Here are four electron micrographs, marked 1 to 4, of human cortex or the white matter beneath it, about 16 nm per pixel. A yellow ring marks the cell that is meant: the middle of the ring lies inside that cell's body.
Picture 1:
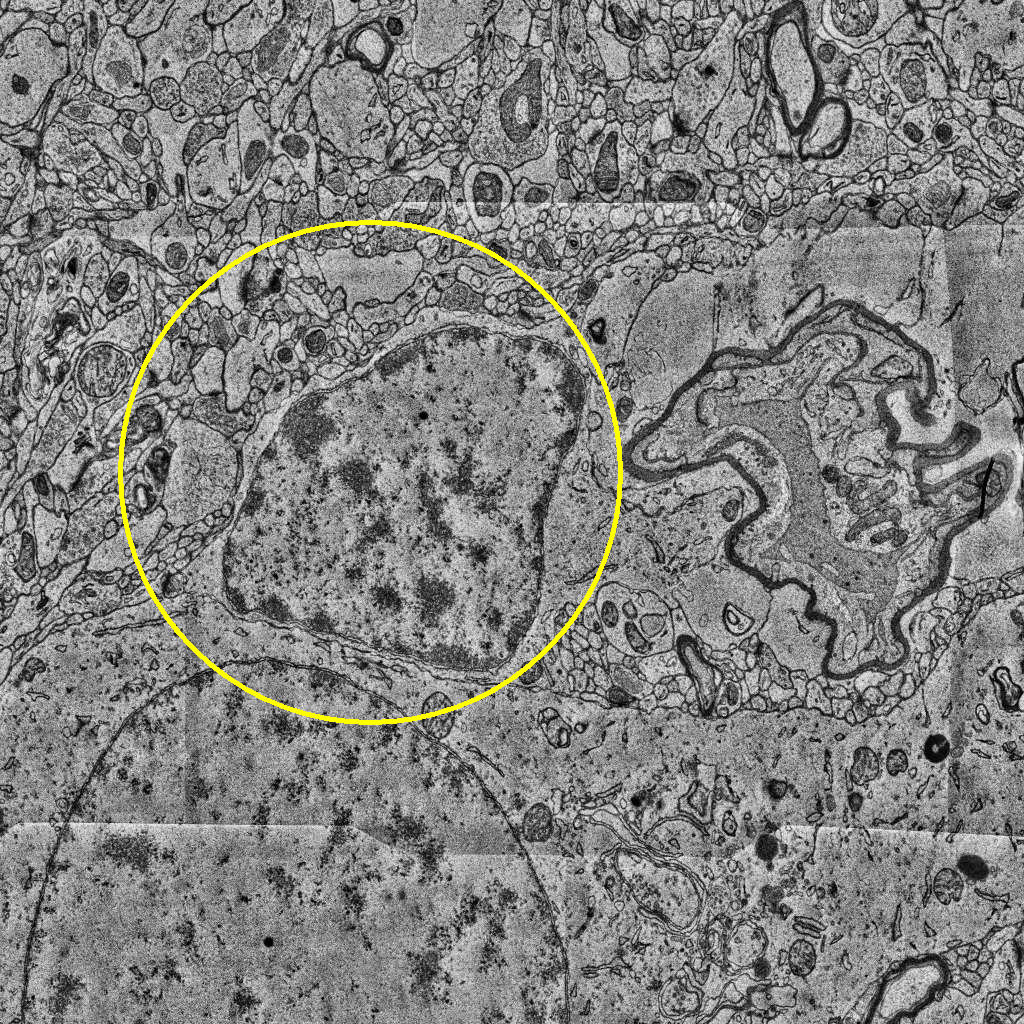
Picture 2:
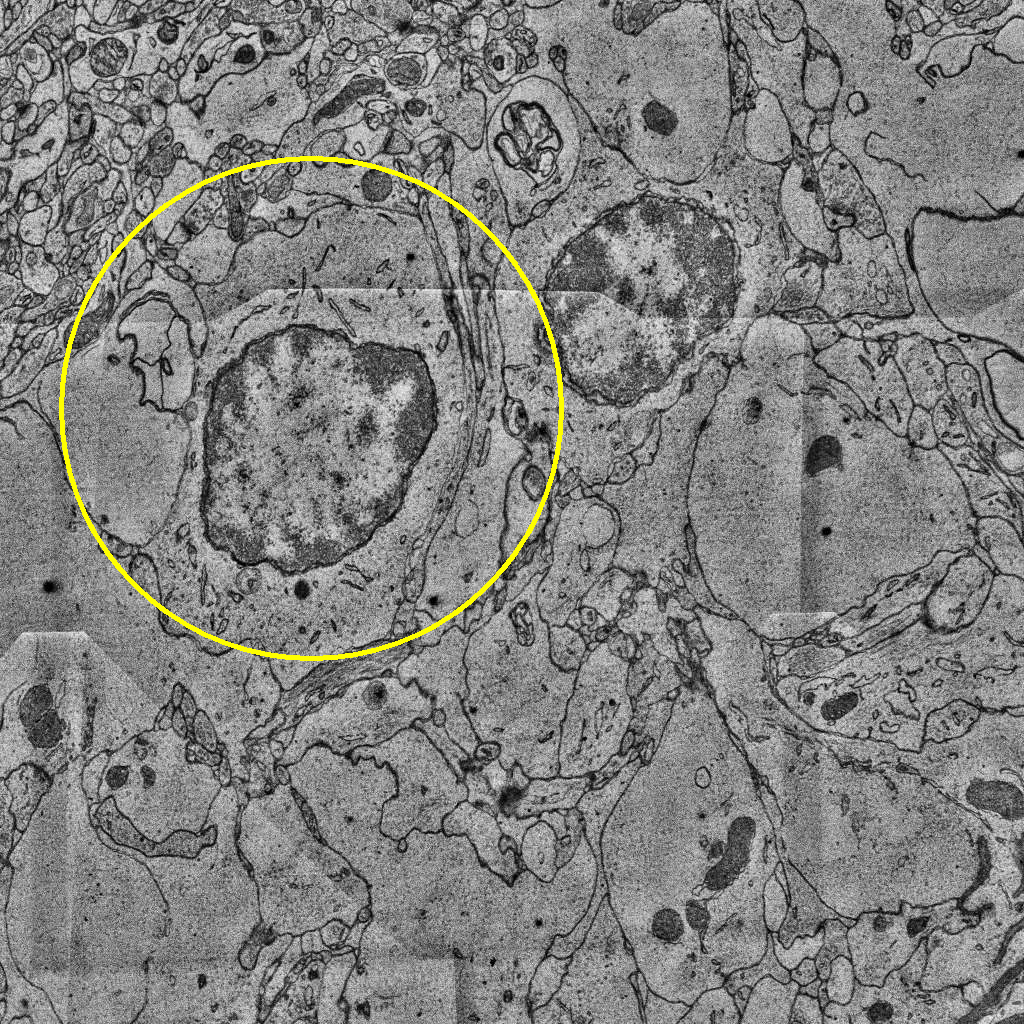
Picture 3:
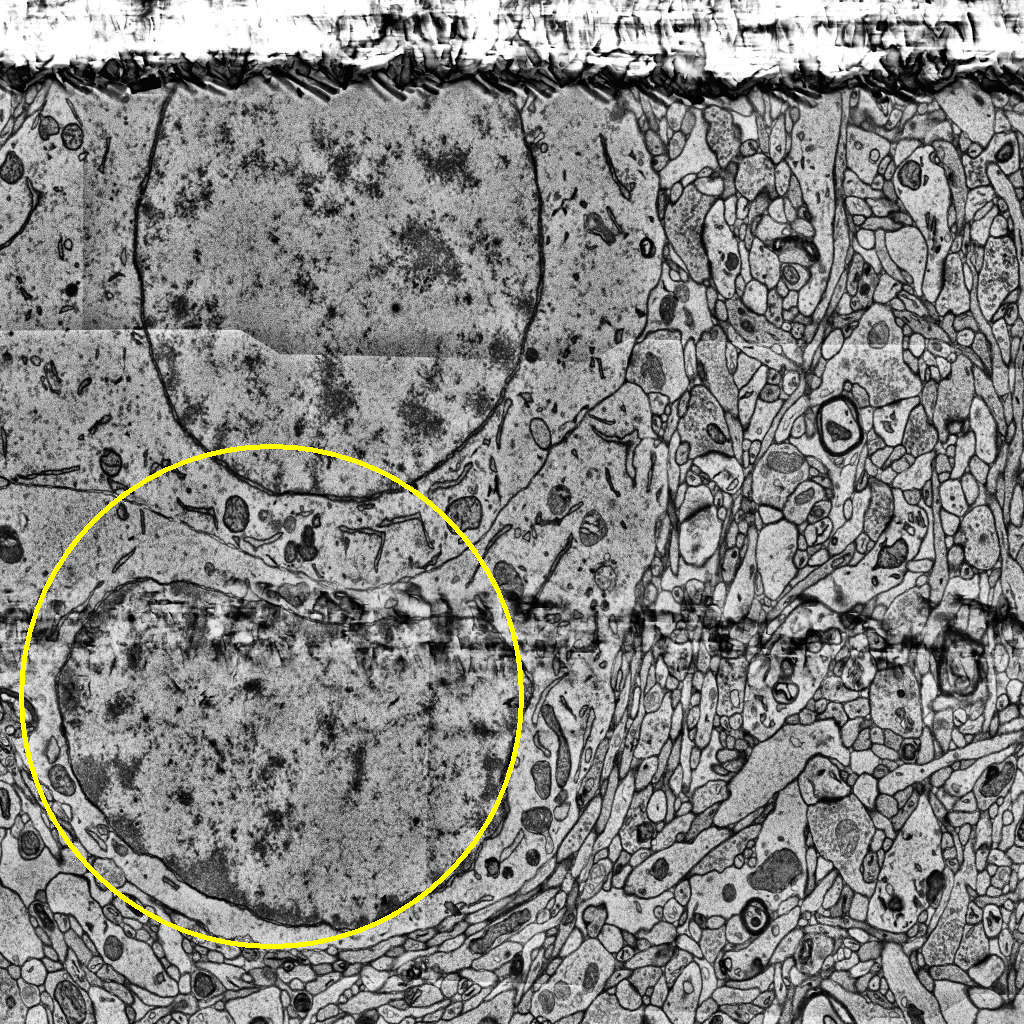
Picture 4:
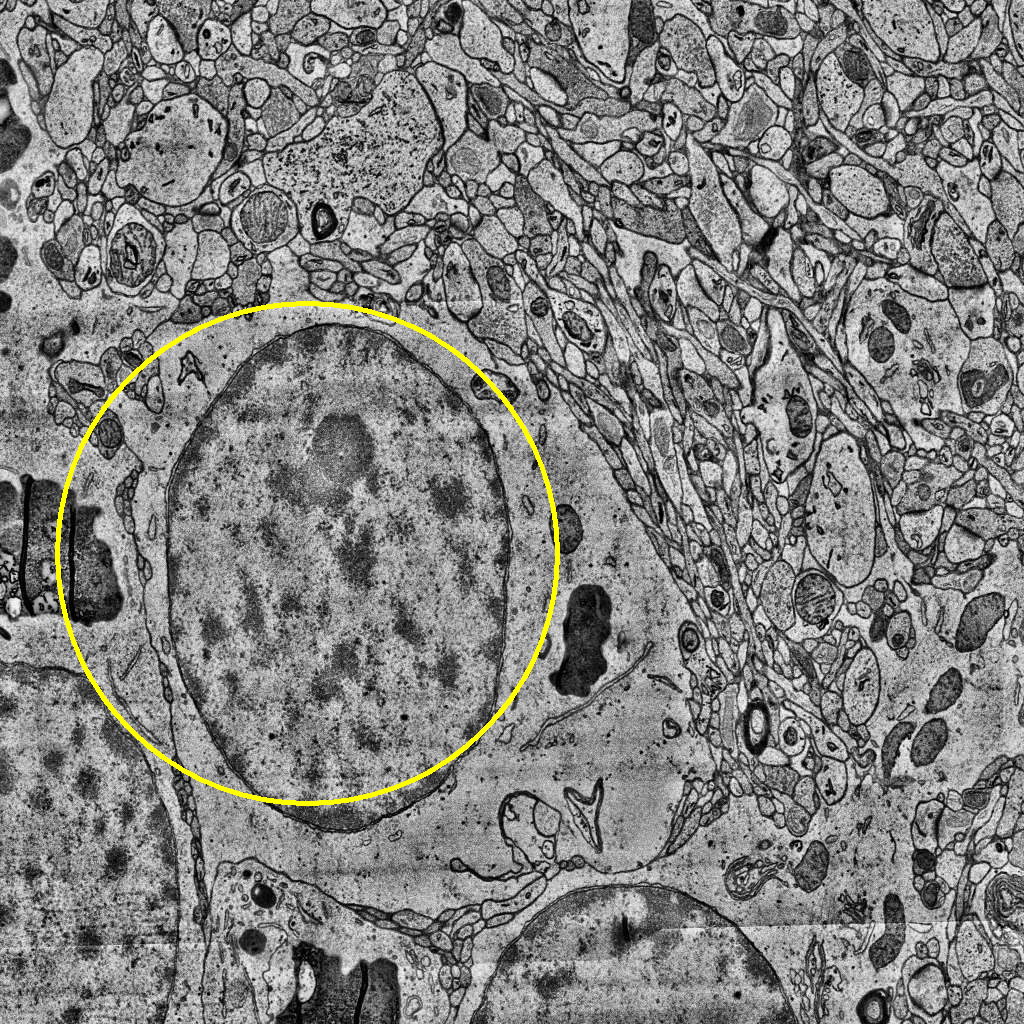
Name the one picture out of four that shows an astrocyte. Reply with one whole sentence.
It is picture 4 that shows the astrocyte.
